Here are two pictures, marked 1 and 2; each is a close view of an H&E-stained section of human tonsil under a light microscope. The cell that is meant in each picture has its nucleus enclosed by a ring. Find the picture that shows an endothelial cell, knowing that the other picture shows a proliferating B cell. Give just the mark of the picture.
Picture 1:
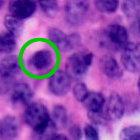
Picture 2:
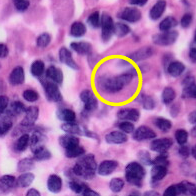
2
